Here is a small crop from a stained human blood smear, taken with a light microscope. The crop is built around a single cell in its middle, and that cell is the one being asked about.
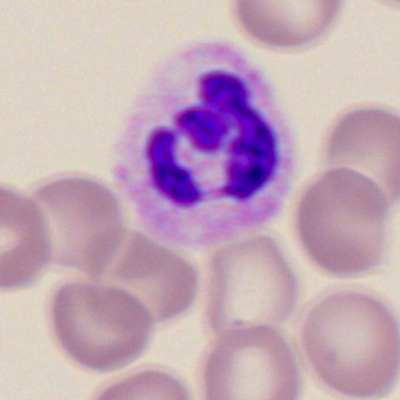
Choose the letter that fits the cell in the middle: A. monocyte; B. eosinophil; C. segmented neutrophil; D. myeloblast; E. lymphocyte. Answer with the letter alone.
C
